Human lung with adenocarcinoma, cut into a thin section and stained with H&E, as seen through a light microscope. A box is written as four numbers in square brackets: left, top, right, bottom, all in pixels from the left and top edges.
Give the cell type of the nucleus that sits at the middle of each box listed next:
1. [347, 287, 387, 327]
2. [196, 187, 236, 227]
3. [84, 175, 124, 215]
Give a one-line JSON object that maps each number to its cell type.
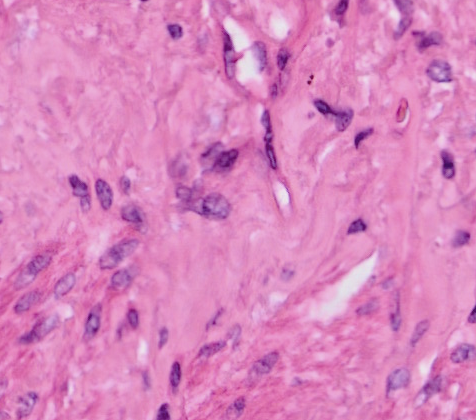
{"1": "smooth muscle cell or pericyte", "2": "fibroblast", "3": "mast cell"}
